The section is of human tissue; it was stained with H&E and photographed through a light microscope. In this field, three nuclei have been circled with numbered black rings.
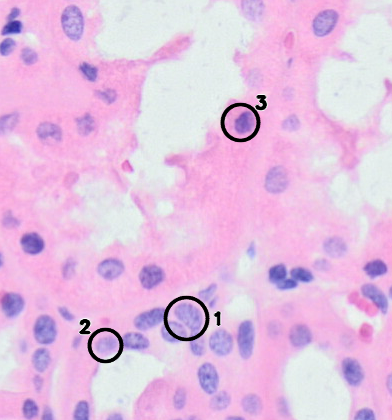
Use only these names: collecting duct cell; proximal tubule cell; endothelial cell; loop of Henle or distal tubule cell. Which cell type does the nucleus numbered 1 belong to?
collecting duct cell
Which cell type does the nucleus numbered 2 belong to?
collecting duct cell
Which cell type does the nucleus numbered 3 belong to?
proximal tubule cell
